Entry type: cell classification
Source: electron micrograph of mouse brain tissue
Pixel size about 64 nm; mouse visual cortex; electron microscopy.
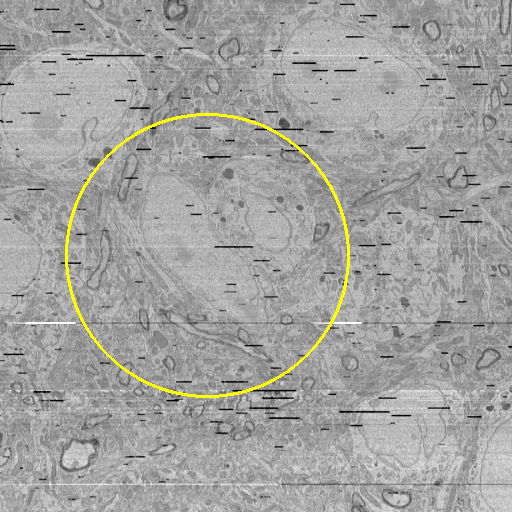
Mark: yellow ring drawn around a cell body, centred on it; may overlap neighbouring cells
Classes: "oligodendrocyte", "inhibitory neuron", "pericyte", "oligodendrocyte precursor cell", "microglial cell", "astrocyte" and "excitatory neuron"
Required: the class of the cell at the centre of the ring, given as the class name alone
oligodendrocyte precursor cell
